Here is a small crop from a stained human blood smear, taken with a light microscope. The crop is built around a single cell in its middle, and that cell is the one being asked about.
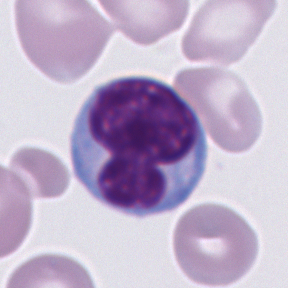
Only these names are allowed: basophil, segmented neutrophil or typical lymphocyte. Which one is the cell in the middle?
typical lymphocyte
